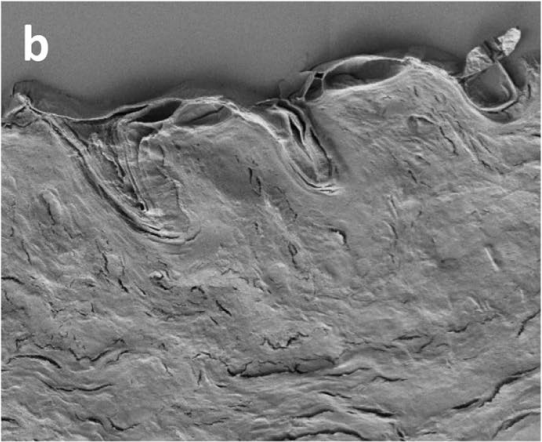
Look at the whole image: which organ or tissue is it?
epidermal region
